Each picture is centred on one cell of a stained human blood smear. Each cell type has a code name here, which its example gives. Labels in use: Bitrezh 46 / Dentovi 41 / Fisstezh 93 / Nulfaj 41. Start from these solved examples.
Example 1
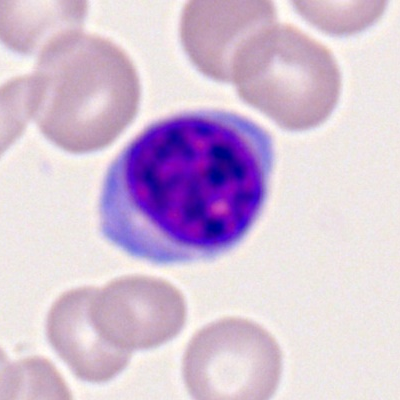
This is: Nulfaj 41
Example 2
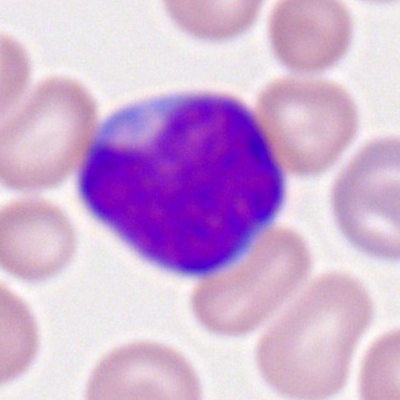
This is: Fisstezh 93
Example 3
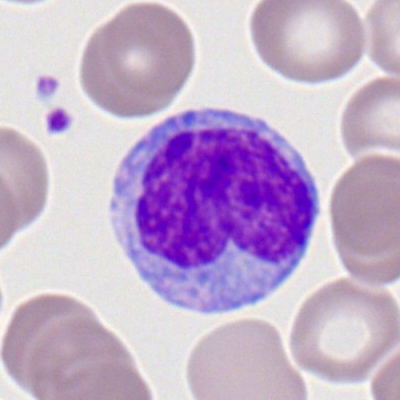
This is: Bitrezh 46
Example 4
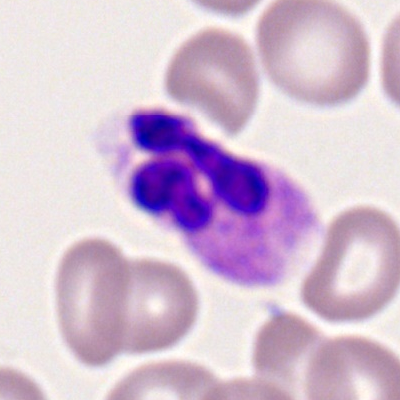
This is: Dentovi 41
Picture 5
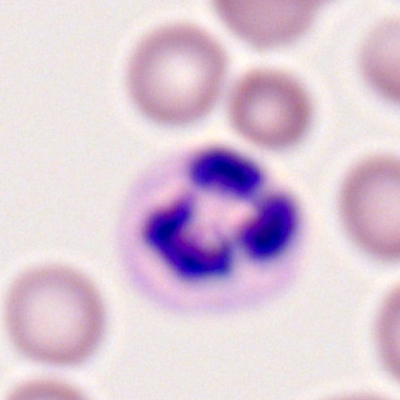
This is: Dentovi 41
